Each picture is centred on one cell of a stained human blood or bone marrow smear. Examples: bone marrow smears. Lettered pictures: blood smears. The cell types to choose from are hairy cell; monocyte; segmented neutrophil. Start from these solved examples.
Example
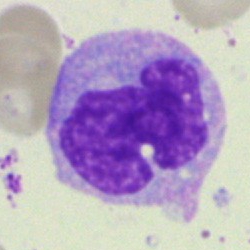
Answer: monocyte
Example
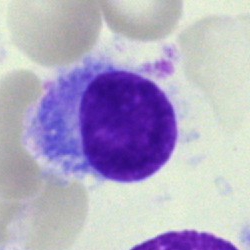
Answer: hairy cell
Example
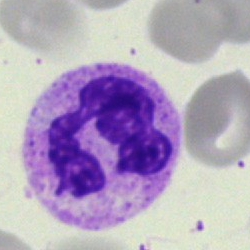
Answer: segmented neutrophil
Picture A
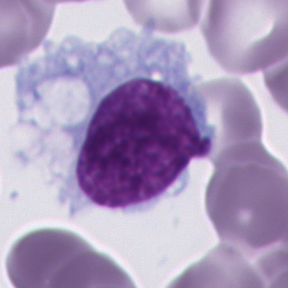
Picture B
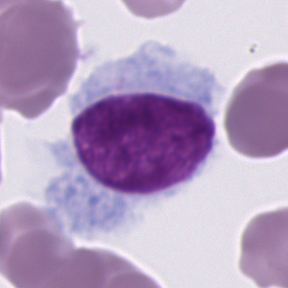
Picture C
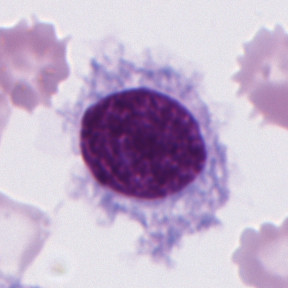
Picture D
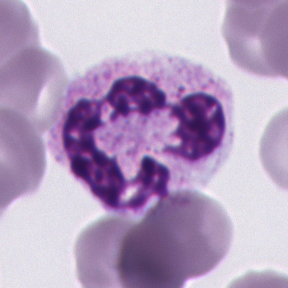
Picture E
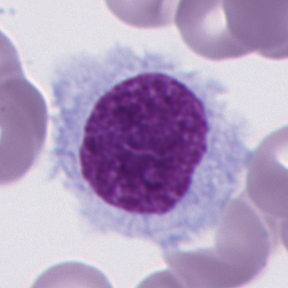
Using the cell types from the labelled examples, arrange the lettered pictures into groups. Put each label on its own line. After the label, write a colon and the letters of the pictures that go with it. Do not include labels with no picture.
hairy cell: A, B, C, E
segmented neutrophil: D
